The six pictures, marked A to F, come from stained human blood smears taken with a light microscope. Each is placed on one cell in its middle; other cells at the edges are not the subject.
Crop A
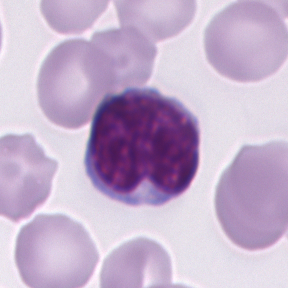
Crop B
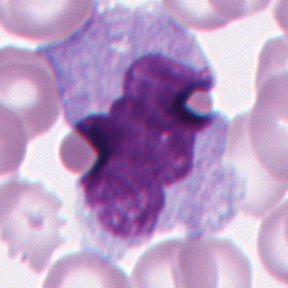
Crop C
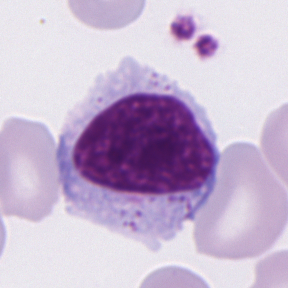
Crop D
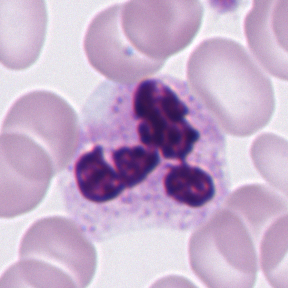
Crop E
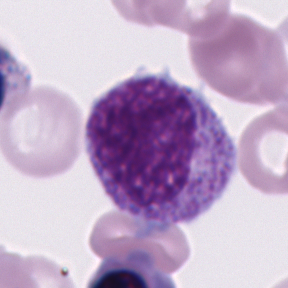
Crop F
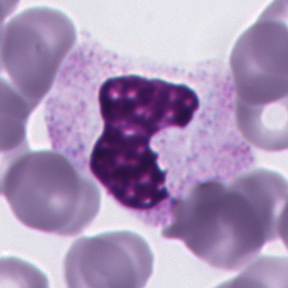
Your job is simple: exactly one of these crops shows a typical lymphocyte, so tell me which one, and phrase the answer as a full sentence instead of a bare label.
Only in crop A is a typical lymphocyte shown.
